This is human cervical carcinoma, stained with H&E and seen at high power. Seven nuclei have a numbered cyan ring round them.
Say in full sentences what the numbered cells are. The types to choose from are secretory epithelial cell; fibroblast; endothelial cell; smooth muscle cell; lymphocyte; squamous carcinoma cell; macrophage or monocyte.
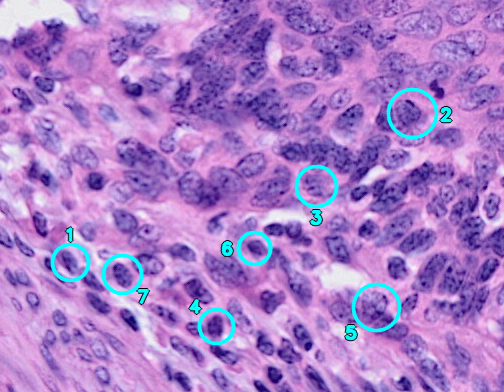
Cell 1 is a lymphocyte, cell 2 is a squamous carcinoma cell, cell 3 is a squamous carcinoma cell, cell 4 is a lymphocyte, cell 5 is a squamous carcinoma cell, cell 6 is a lymphocyte and cell 7 is a lymphocyte.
